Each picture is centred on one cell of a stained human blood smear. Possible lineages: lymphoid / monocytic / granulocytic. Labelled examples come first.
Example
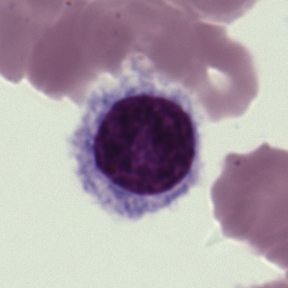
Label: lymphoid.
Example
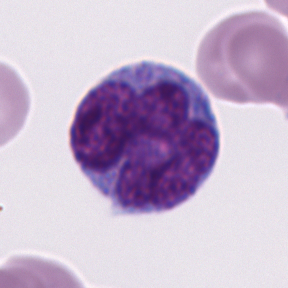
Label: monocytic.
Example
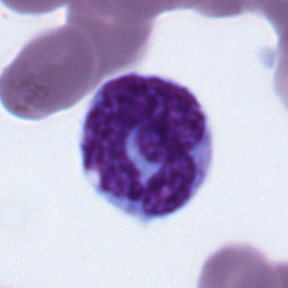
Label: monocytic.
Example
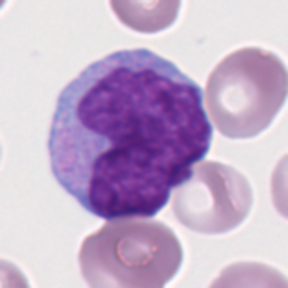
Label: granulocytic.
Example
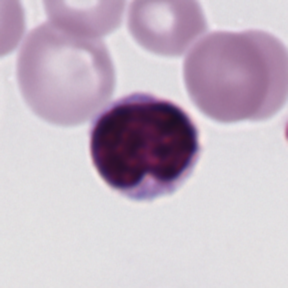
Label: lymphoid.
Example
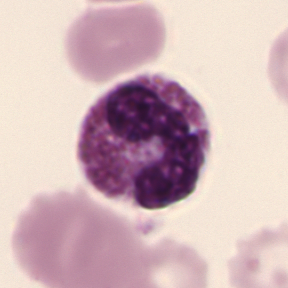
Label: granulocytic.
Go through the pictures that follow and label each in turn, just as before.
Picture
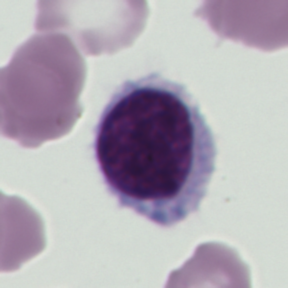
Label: lymphoid.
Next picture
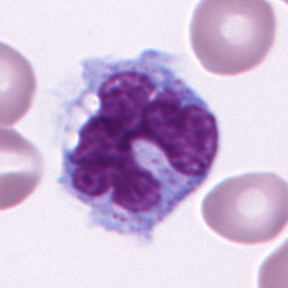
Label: monocytic.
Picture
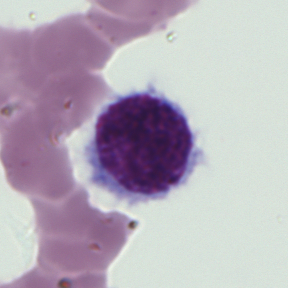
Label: lymphoid.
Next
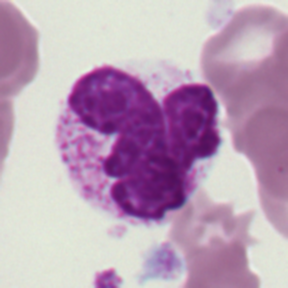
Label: granulocytic.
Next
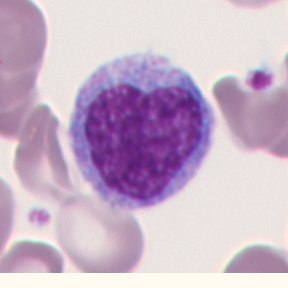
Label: monocytic.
